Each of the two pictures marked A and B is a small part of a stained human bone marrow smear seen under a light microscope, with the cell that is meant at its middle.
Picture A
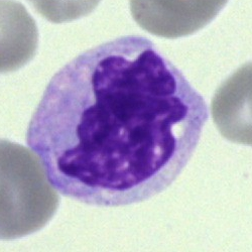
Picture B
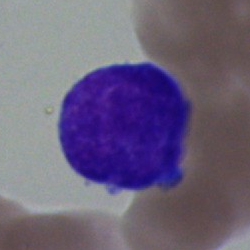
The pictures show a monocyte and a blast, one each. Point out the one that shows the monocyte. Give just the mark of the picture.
A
